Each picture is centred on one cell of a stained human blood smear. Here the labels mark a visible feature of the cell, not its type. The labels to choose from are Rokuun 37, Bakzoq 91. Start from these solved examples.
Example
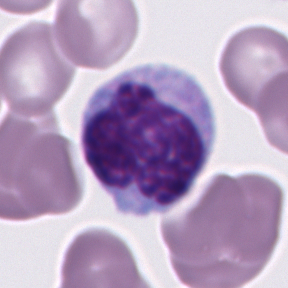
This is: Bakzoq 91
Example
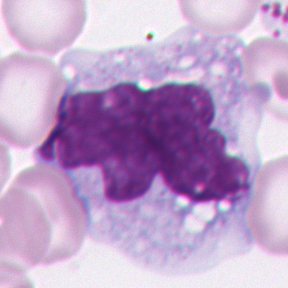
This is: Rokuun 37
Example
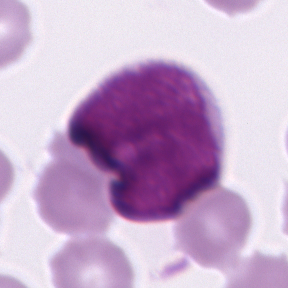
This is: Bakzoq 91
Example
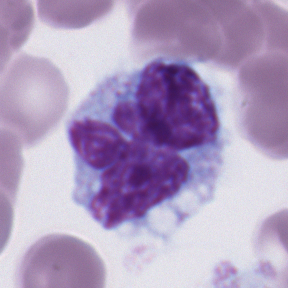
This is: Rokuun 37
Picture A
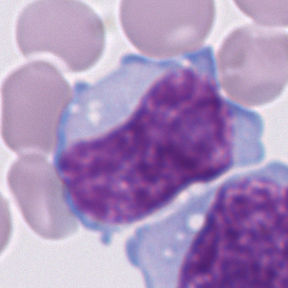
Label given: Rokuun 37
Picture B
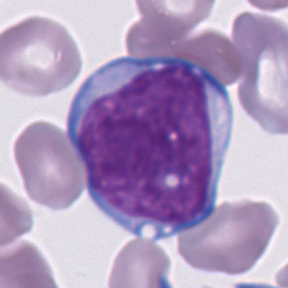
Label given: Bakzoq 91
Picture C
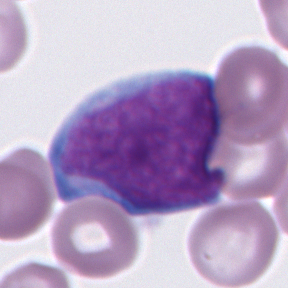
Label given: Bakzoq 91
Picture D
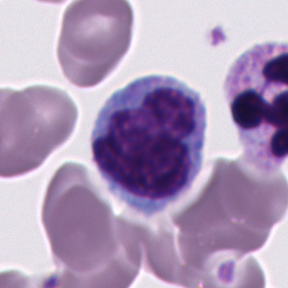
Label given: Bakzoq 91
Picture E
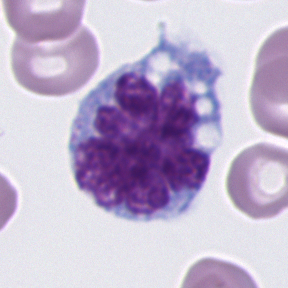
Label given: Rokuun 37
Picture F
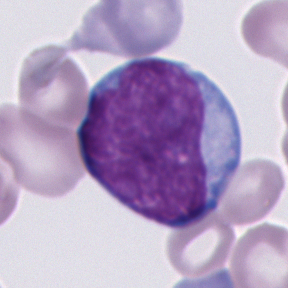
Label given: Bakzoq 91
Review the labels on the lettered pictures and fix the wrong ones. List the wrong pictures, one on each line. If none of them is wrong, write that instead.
B should be Rokuun 37, not Bakzoq 91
